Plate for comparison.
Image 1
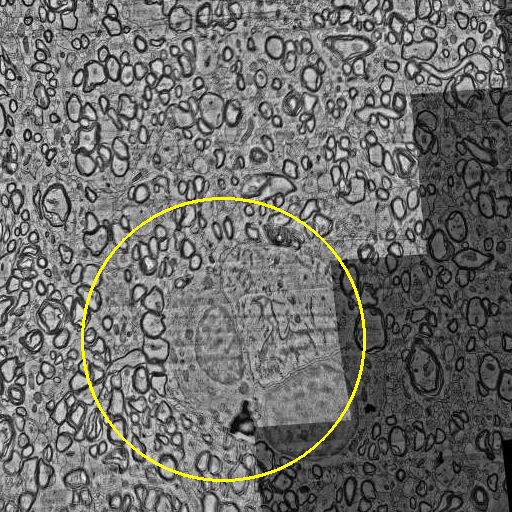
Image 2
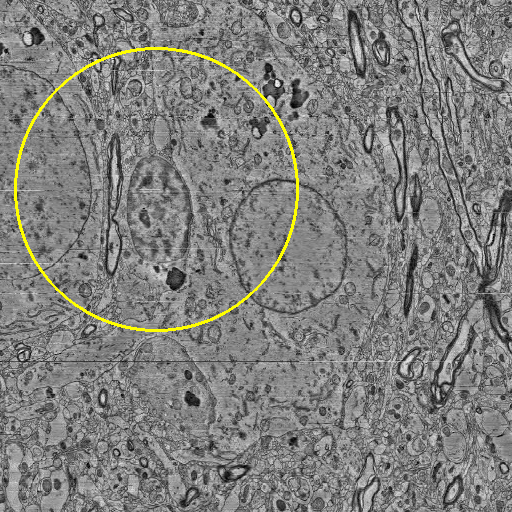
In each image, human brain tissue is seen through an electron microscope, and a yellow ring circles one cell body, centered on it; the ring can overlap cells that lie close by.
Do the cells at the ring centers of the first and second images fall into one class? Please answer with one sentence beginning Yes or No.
Yes, the first and second images show a single class of cell at the ring centers.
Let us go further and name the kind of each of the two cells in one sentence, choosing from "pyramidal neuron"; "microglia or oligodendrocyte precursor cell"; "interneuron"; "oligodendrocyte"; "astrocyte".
Both pictures show an oligodendrocyte at the centre of the ring.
